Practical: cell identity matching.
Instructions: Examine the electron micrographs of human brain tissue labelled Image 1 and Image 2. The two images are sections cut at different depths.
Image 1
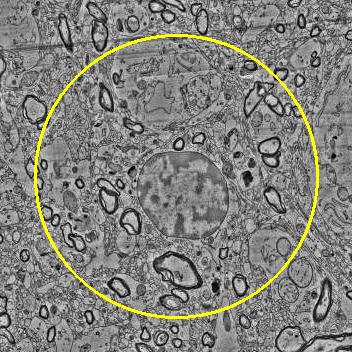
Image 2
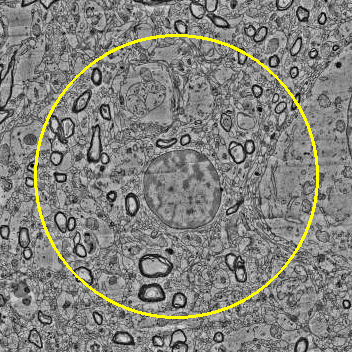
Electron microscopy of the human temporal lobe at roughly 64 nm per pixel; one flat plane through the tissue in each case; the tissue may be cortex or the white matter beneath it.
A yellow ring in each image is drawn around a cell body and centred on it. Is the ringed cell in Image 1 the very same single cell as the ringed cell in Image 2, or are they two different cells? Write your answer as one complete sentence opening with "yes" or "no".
Yes, the same cell turns up inside each of the two rings.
